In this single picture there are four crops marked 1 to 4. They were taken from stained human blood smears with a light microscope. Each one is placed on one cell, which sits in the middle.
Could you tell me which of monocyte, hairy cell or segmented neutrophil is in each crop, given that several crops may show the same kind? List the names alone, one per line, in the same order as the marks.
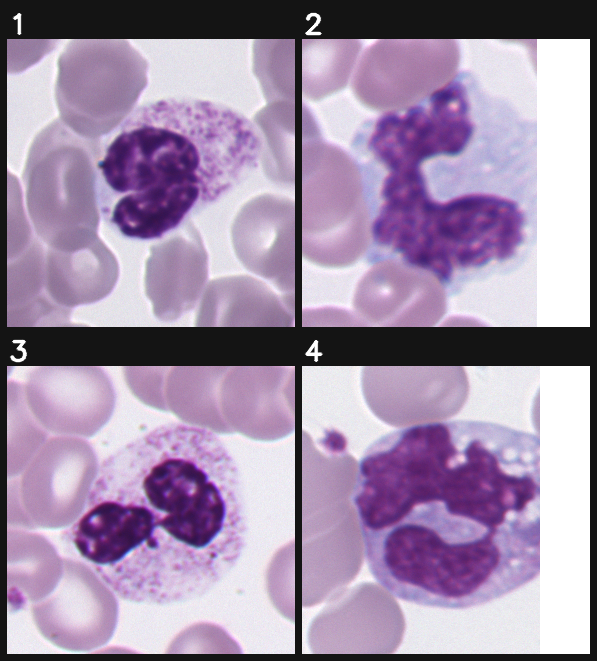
segmented neutrophil
monocyte
segmented neutrophil
monocyte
